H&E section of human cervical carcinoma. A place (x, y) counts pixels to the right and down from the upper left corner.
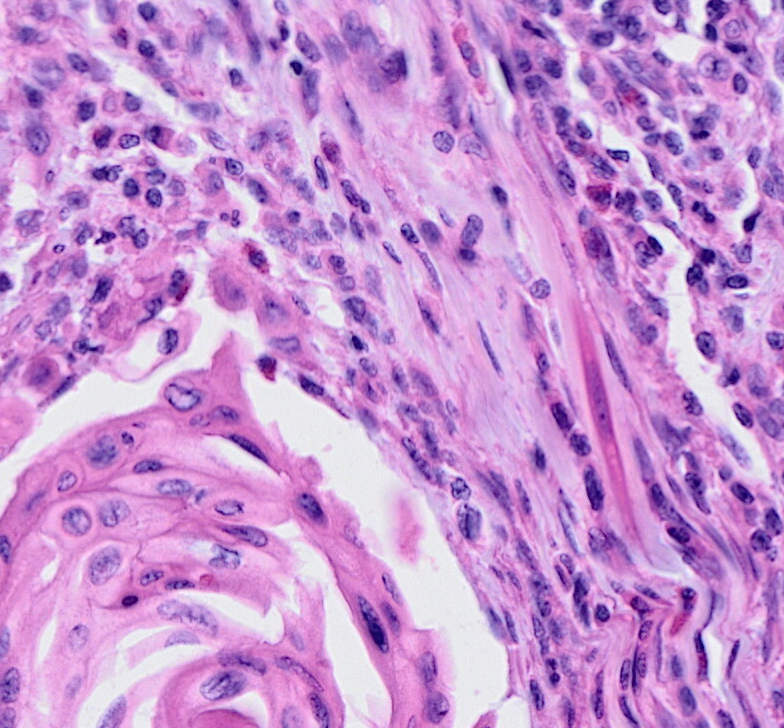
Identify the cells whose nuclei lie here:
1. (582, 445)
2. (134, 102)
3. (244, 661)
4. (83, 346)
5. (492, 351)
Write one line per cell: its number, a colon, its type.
1: lymphocyte
2: lymphocyte
3: squamous carcinoma cell
4: lymphocyte
5: fibroblast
